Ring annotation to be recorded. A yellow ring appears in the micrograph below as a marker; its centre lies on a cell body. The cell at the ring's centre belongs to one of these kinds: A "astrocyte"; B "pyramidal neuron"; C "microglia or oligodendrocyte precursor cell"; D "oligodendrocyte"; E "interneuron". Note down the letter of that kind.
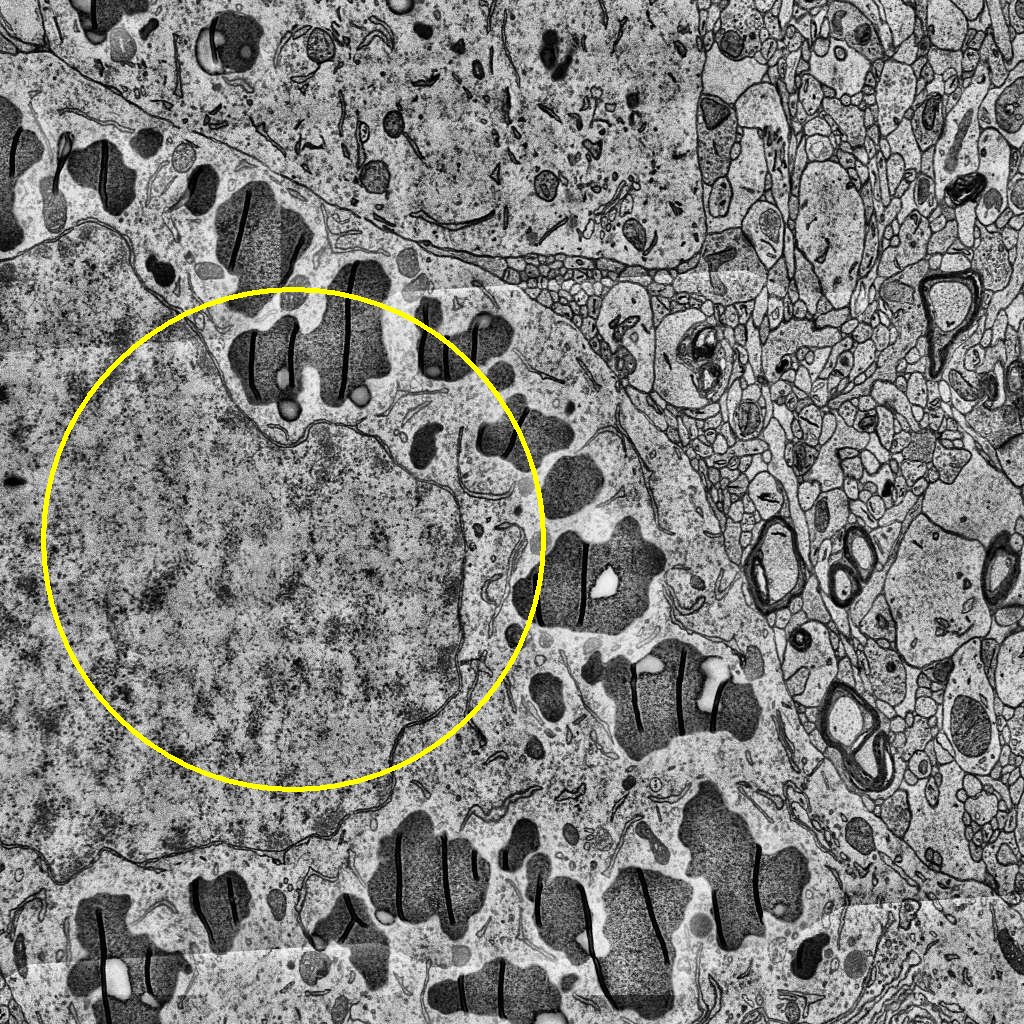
E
